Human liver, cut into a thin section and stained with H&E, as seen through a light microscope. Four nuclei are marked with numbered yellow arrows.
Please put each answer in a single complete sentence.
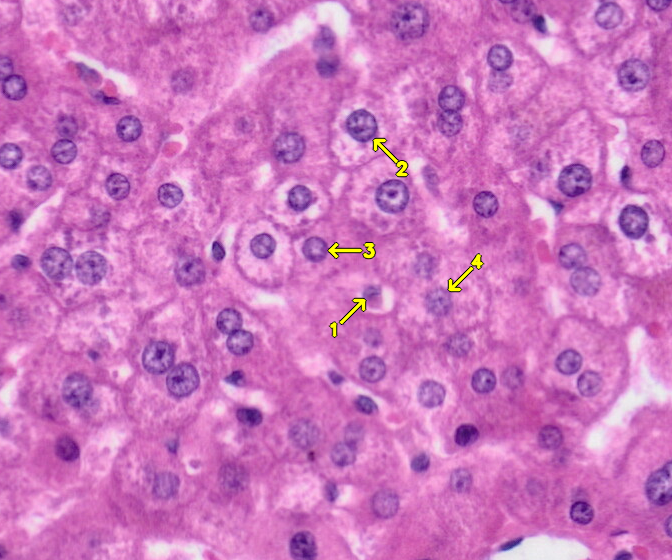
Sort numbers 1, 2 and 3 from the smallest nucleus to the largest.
The order from the smallest nucleus to the largest is 1, 3, 2.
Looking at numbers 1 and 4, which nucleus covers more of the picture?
At about 3 times the area of nucleus 1, nucleus 4 is the larger of the two.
